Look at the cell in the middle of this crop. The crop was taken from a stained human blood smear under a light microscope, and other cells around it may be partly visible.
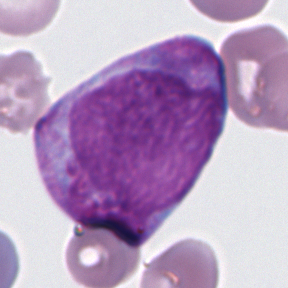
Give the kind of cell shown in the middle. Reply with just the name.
atypical promyelocyte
